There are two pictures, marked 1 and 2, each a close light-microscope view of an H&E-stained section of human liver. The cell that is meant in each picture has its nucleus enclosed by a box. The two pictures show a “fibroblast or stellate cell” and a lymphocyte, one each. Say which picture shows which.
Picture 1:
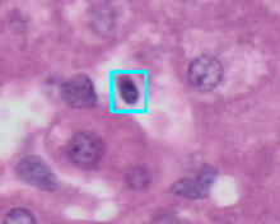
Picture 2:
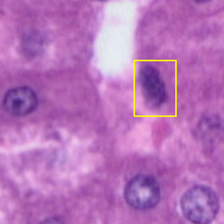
1: lymphocyte
2: fibroblast or stellate cell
